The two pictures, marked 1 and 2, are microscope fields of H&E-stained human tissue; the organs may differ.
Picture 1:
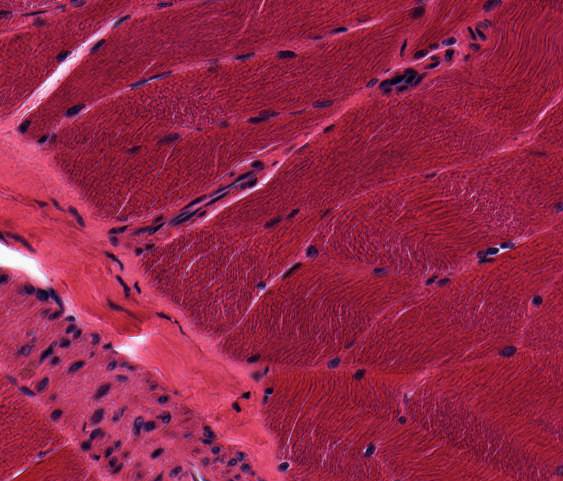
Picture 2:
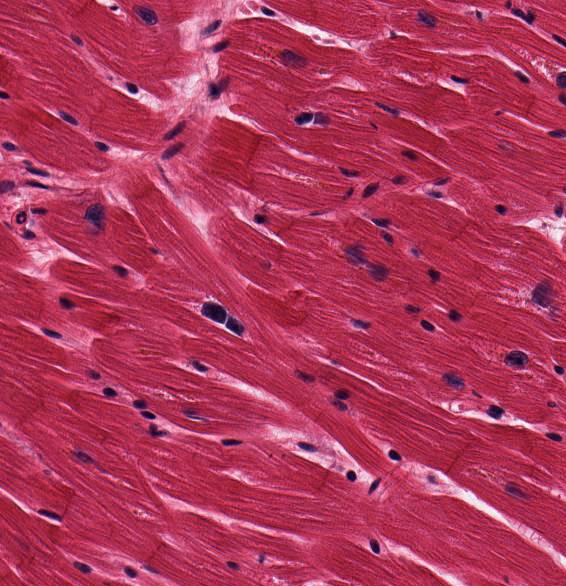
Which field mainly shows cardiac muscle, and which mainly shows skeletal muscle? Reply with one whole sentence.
Picture 2 mainly shows cardiac muscle, while picture 1 mainly shows skeletal muscle.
